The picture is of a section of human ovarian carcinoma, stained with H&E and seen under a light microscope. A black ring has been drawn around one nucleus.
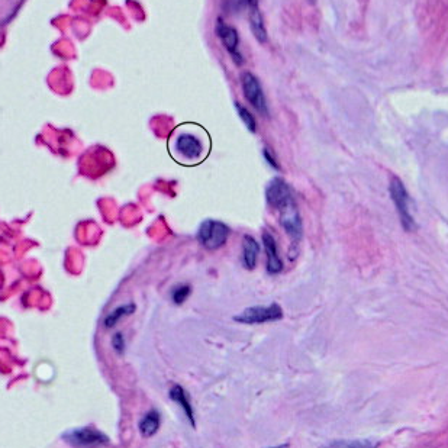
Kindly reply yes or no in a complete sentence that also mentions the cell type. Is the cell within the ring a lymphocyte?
Yes, a lymphocyte is the correct identification for the cell within the ring.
